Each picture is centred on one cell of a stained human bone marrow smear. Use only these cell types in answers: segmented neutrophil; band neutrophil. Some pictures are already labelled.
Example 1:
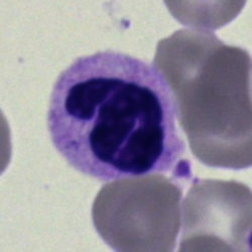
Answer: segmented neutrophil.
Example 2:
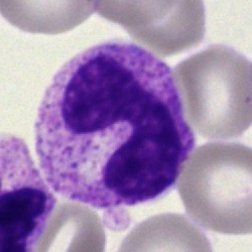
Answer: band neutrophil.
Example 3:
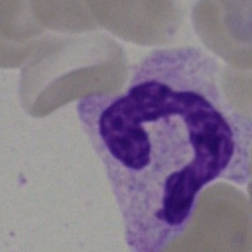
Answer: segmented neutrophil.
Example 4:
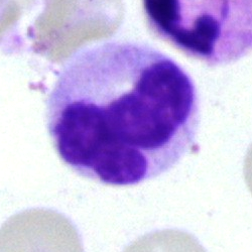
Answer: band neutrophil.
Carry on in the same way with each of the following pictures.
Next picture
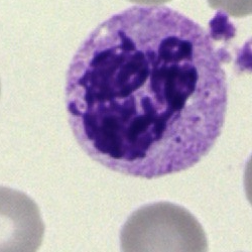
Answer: segmented neutrophil.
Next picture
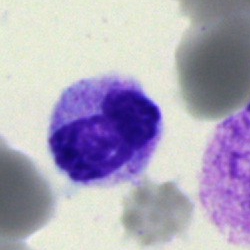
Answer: band neutrophil.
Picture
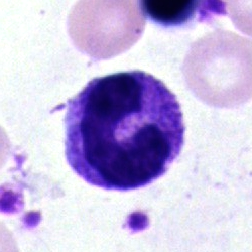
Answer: segmented neutrophil.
